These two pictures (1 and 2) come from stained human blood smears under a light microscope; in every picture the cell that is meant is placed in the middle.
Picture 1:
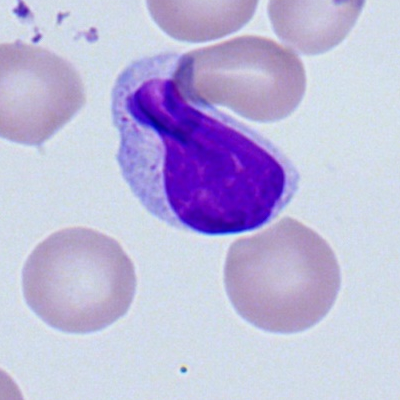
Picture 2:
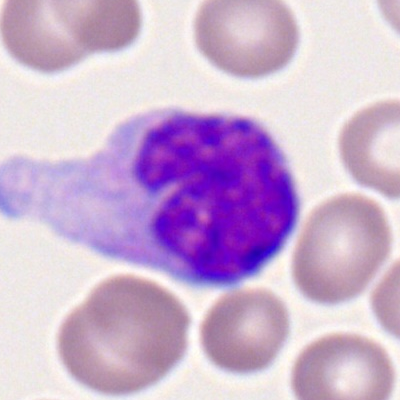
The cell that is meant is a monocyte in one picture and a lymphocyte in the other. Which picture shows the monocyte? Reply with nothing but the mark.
2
